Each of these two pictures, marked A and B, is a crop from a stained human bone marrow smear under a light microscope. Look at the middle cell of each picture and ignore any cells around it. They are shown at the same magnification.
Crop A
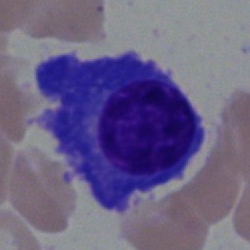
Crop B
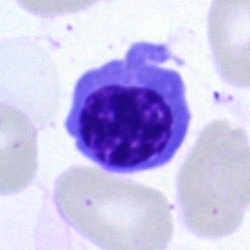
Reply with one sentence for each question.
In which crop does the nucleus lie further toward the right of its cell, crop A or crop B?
The nucleus in crop A lies further toward the right of its cell.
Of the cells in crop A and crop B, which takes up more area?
Crop A holds the larger cell; it covers about 1.5 times the area of the cell in crop B.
